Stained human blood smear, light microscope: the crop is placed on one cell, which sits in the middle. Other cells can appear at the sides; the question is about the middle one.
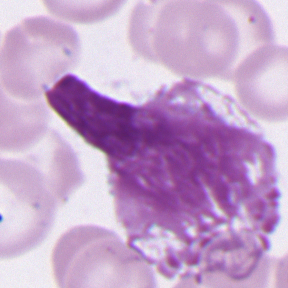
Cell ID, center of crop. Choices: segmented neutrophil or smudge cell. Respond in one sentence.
The cell centred in this crop is categorized as a smudge cell.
